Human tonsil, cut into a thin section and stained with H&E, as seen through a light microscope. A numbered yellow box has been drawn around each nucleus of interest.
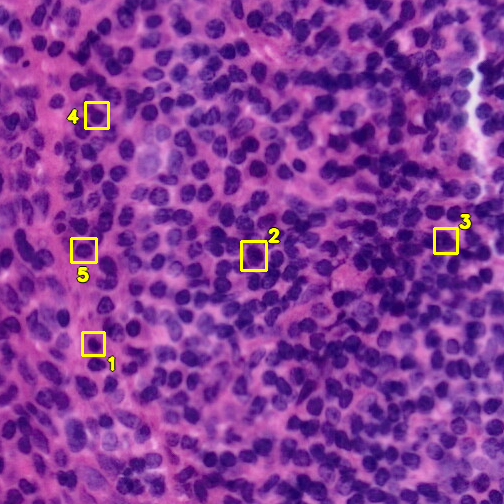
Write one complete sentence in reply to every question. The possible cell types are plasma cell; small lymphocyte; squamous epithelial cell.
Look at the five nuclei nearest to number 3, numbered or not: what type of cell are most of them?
Of the five nuclei nearest to number 3, most belong to small lymphocytes.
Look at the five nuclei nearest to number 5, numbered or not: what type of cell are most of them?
Of the five nuclei nearest to number 5, most belong to plasma cells.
